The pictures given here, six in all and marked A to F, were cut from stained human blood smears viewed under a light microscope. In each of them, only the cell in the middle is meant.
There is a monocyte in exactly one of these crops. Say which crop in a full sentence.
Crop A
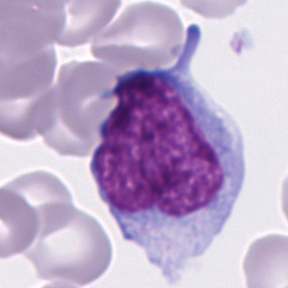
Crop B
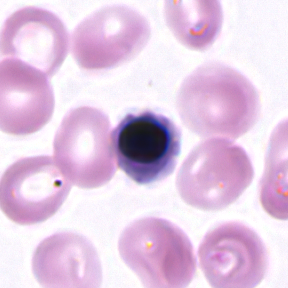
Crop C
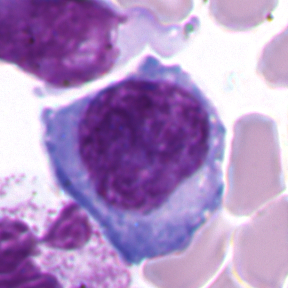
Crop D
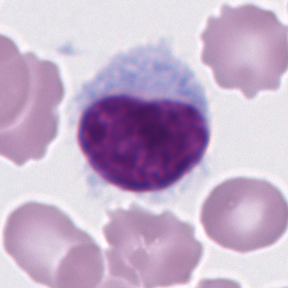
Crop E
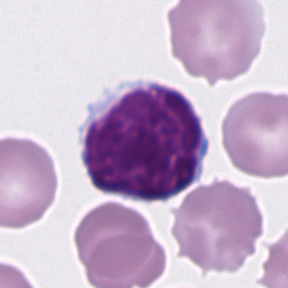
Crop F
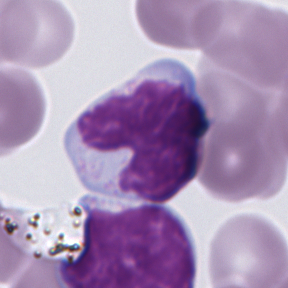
Only in crop A is a monocyte shown.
